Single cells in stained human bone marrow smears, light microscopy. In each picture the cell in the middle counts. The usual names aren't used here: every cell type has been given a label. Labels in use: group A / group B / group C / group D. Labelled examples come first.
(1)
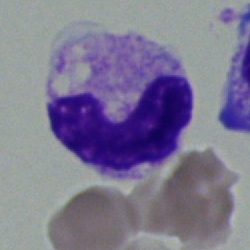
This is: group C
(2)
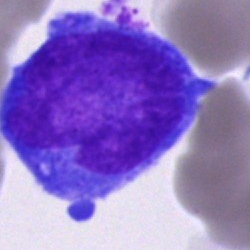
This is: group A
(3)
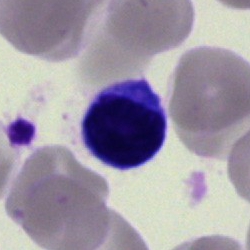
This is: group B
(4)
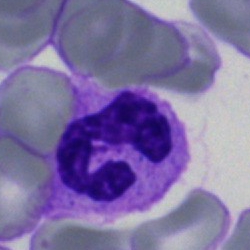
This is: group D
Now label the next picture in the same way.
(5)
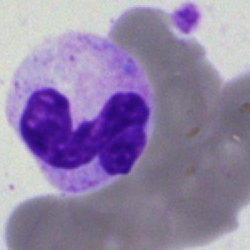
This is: group D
